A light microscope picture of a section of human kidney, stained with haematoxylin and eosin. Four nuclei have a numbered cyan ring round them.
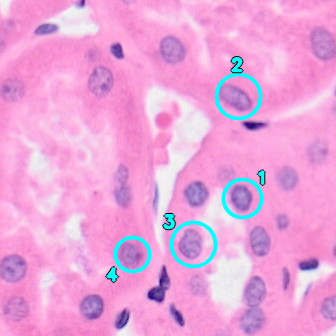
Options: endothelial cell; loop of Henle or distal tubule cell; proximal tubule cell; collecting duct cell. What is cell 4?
proximal tubule cell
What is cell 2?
proximal tubule cell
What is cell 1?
loop of Henle or distal tubule cell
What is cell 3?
loop of Henle or distal tubule cell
